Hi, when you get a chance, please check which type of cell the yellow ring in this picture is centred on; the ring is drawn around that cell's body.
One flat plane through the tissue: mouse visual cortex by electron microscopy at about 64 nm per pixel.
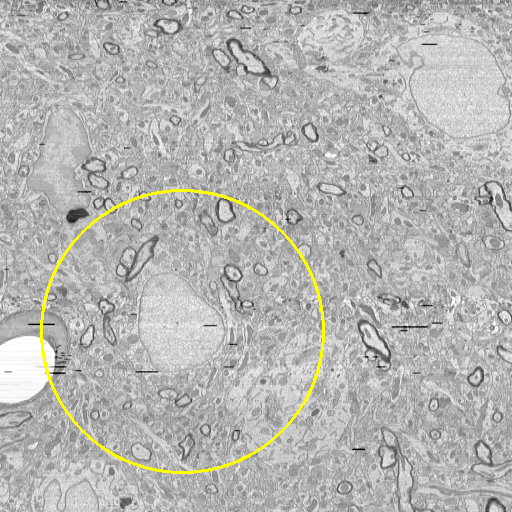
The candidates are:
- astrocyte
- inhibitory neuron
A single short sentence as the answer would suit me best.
The ring is drawn around the body of an astrocyte.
